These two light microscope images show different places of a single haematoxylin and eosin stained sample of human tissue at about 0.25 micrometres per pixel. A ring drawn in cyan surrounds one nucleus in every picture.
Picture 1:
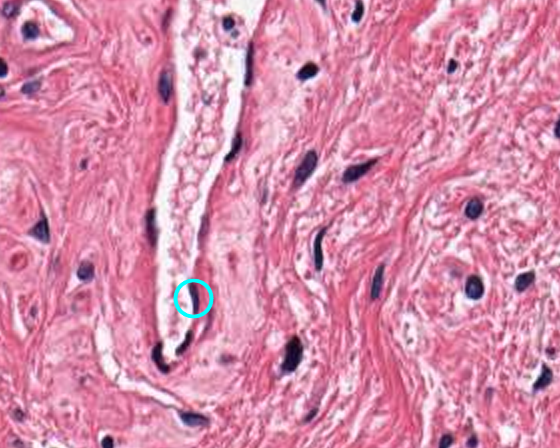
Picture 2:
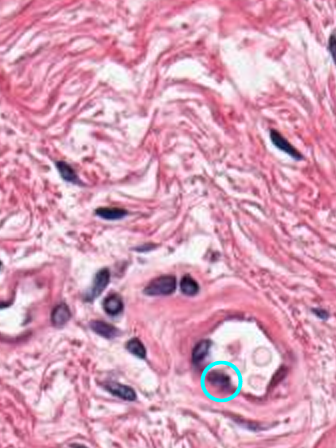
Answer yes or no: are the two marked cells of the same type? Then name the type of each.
Yes, both are endothelial cells.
